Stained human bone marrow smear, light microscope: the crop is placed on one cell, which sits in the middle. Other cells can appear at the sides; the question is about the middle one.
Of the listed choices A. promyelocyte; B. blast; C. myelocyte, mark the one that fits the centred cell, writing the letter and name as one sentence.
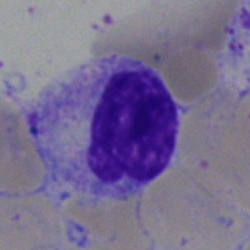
Option C is correct in that the central cell is a myelocyte.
